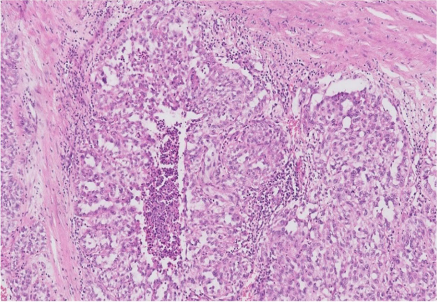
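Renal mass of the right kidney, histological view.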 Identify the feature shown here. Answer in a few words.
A: nested growth pattern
